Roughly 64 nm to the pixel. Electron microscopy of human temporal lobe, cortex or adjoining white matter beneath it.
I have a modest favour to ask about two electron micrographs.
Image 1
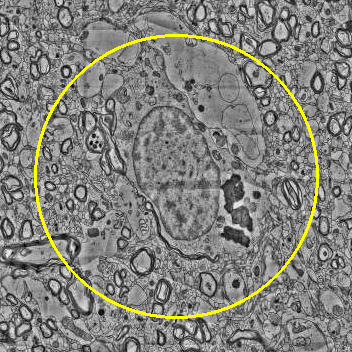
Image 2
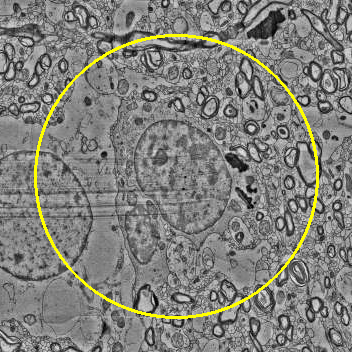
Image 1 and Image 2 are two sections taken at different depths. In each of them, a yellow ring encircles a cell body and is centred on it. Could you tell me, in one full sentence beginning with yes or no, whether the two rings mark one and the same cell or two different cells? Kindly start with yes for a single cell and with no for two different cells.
No, the rings do not mark the same cell.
